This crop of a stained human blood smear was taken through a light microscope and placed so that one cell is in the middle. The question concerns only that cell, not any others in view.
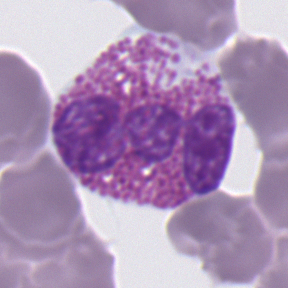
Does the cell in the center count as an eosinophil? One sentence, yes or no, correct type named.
Yes, the cell at the middle of the field is to be classed as an eosinophil.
